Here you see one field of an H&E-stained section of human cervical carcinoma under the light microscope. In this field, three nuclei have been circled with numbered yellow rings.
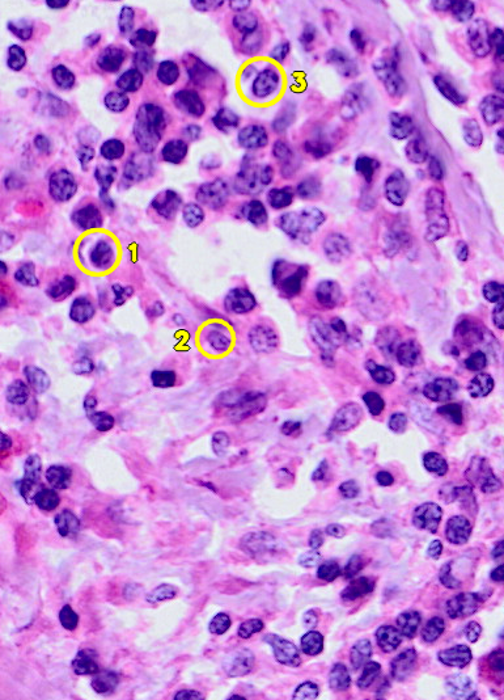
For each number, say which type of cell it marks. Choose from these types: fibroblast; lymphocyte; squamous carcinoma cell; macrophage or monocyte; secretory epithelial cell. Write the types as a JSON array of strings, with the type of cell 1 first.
["lymphocyte", "macrophage or monocyte", "lymphocyte"]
